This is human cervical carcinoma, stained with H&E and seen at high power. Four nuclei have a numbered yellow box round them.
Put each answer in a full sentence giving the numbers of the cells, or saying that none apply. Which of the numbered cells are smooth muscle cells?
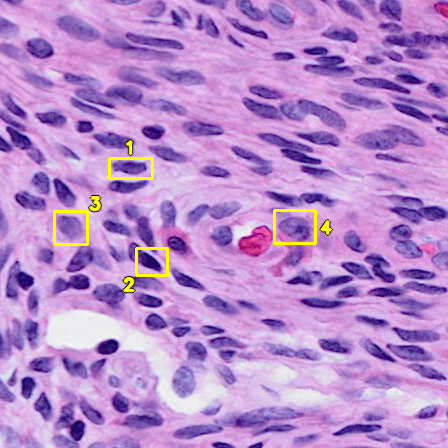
Each of the numbered cells is a cell other than one of the smooth muscle cells.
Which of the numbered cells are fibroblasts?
The cells given the numbers 1 and 3 are fibroblasts.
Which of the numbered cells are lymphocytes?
The nucleus numbered 2 is the only one that belongs to a lymphocyte.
